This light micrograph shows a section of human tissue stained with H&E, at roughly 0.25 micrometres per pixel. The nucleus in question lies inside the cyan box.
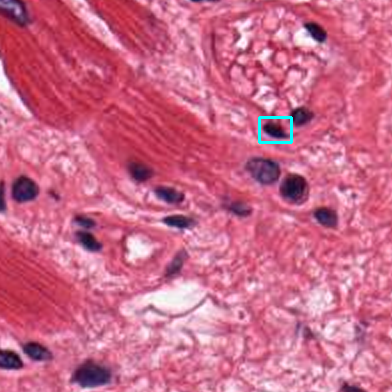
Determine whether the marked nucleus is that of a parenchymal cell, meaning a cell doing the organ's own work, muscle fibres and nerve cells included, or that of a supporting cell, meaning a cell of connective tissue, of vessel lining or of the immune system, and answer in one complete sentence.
It is in a supporting cell that the marked nucleus lies.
